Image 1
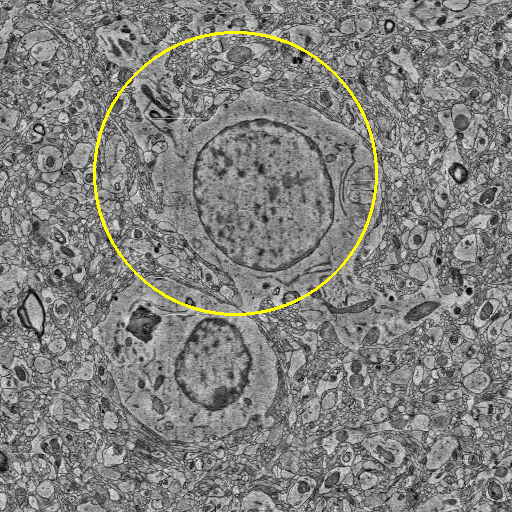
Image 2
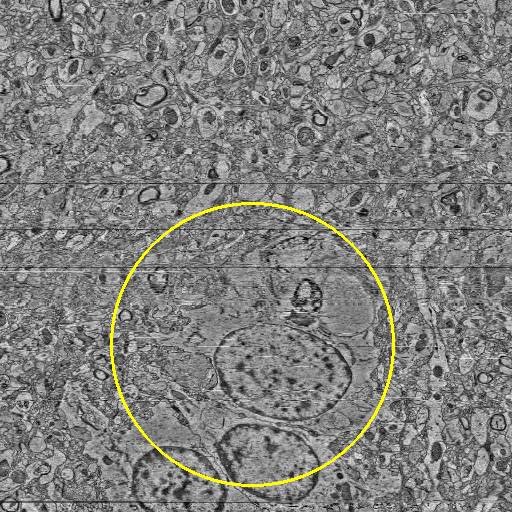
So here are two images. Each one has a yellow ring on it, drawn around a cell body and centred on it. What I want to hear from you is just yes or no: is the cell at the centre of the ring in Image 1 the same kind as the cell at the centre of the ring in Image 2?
yes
